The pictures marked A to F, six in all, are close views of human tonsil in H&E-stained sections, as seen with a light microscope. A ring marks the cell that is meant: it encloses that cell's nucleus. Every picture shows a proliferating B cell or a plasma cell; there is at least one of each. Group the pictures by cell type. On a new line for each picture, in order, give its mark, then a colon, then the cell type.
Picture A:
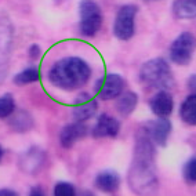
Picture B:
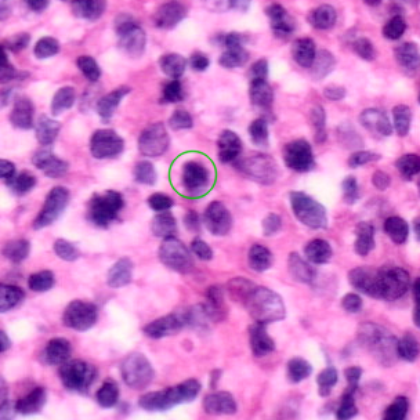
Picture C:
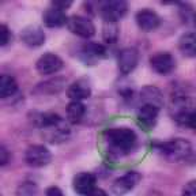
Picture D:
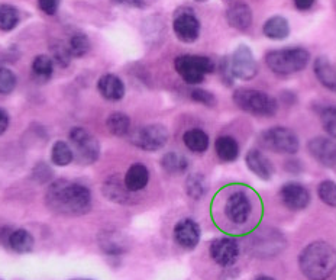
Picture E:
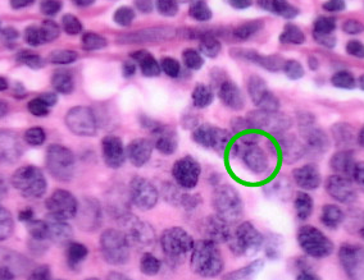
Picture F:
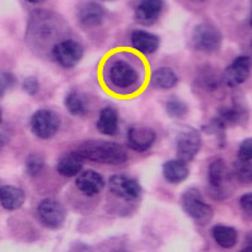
A: proliferating B cell
B: proliferating B cell
C: proliferating B cell
D: plasma cell
E: proliferating B cell
F: plasma cell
